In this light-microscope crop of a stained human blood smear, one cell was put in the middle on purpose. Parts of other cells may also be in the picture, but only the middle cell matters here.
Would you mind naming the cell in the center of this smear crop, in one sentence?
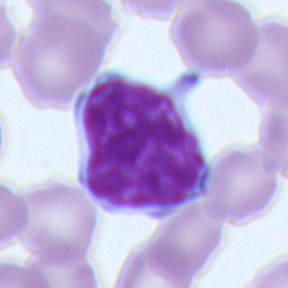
At the center of the crop sits a lymphocyte.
